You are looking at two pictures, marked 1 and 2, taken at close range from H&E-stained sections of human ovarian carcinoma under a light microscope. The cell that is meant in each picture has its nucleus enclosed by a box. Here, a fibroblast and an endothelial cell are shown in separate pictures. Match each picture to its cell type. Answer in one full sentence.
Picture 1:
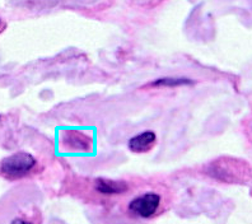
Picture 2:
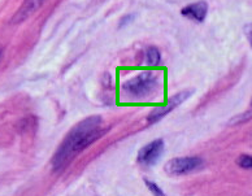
Picture 2 shows an endothelial cell, while picture 1 shows a fibroblast.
